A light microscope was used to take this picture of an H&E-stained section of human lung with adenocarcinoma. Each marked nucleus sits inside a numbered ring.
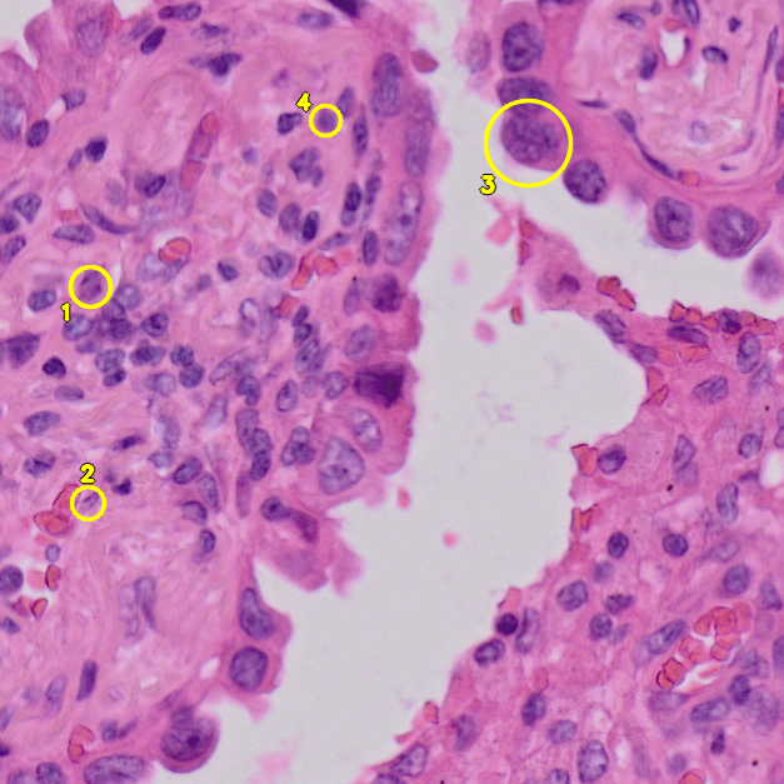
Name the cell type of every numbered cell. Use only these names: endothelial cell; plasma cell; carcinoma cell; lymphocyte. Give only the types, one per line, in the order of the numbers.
plasma cell
endothelial cell
carcinoma cell
lymphocyte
